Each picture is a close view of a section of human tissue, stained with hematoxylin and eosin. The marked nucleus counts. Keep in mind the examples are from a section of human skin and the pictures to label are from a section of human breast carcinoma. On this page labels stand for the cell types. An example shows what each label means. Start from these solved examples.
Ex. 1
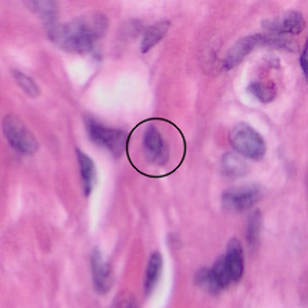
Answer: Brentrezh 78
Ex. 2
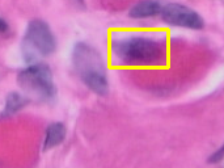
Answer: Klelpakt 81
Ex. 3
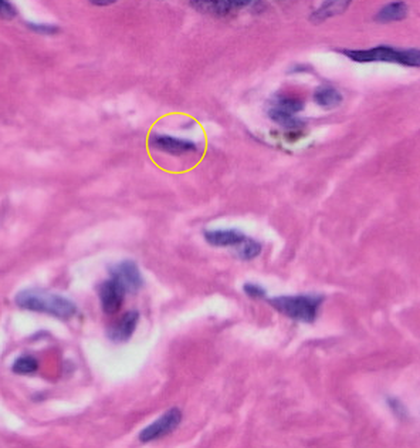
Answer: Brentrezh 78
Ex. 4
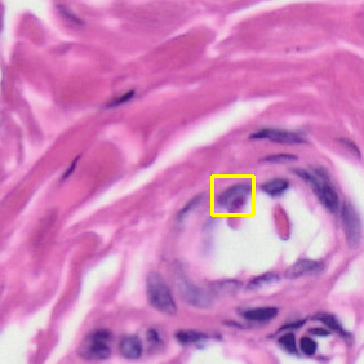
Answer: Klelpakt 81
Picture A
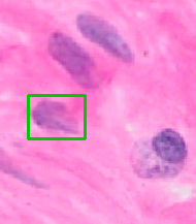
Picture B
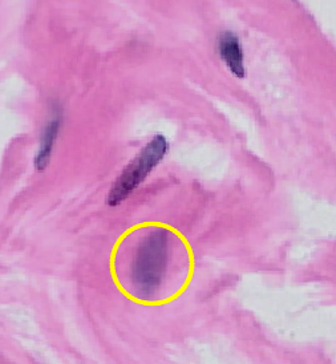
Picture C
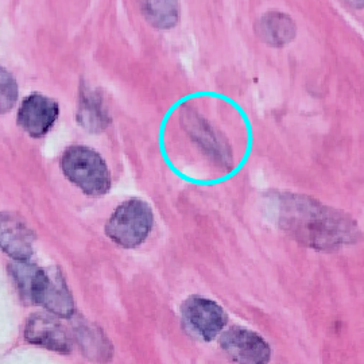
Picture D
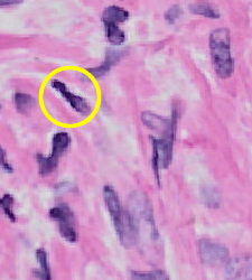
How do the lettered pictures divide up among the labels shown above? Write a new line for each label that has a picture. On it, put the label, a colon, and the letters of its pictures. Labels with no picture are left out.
Brentrezh 78: A, B, C, D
